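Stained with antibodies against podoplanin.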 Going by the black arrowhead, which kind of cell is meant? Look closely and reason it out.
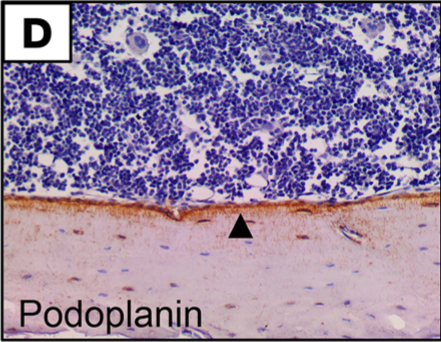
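Osteocytes. The arrowhead points at the edge of the pale pink bone matrix. Brown stain runs along the bone edge and around small nuclei within the matrix.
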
